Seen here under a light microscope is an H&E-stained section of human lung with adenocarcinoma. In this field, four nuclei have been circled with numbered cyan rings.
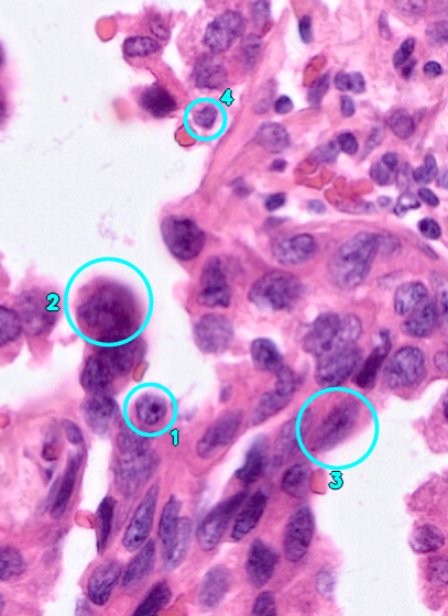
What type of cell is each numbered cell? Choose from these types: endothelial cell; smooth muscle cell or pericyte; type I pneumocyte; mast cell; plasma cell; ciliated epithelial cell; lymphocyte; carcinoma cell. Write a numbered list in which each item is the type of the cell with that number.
1. carcinoma cell
2. carcinoma cell
3. carcinoma cell
4. lymphocyte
